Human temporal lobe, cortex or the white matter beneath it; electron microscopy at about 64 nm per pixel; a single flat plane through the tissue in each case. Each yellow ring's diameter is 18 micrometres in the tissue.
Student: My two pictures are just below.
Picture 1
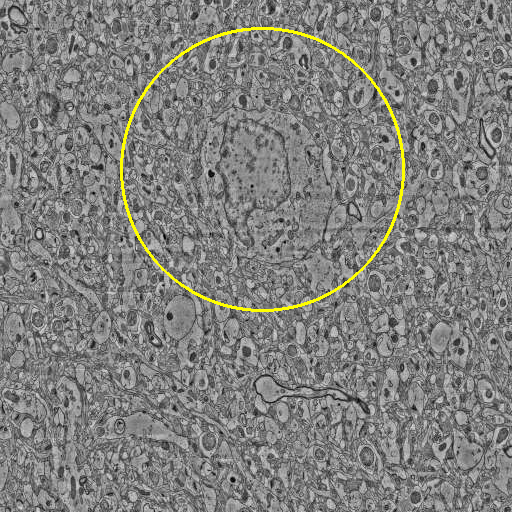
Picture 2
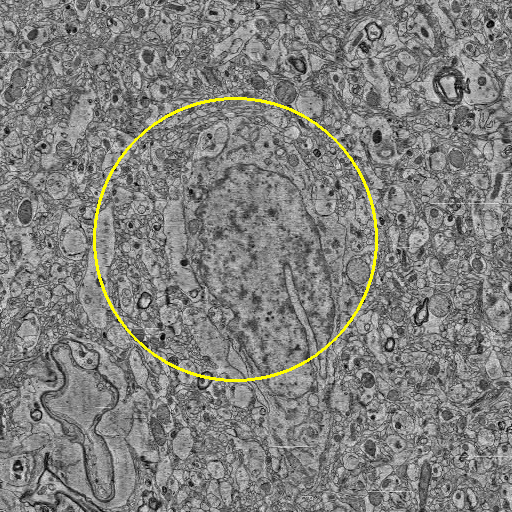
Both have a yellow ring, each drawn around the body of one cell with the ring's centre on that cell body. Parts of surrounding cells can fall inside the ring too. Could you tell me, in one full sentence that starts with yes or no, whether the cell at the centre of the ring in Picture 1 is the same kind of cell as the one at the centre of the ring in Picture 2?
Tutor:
Yes, the two cells are of the same kind.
